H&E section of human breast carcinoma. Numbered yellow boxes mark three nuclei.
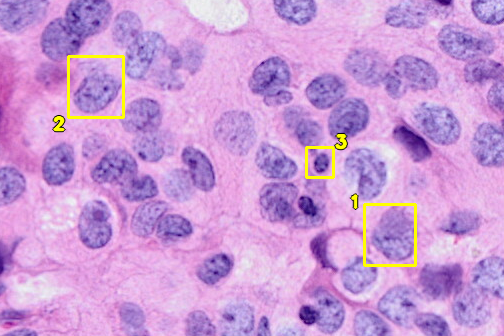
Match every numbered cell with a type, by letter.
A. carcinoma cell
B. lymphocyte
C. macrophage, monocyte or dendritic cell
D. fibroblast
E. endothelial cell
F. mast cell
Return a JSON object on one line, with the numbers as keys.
{"1": "A", "2": "A", "3": "B"}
